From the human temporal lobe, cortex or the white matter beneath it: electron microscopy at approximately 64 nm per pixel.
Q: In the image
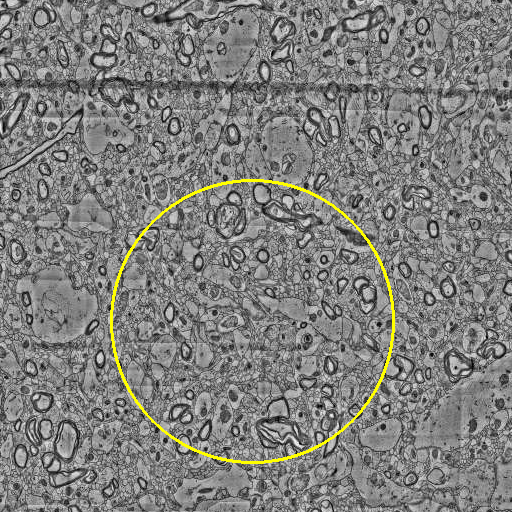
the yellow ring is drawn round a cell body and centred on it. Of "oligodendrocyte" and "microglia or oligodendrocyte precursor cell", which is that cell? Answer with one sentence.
The cell centred in the ring is a microglial cell or oligodendrocyte precursor cell.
